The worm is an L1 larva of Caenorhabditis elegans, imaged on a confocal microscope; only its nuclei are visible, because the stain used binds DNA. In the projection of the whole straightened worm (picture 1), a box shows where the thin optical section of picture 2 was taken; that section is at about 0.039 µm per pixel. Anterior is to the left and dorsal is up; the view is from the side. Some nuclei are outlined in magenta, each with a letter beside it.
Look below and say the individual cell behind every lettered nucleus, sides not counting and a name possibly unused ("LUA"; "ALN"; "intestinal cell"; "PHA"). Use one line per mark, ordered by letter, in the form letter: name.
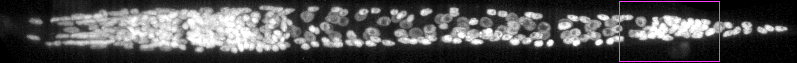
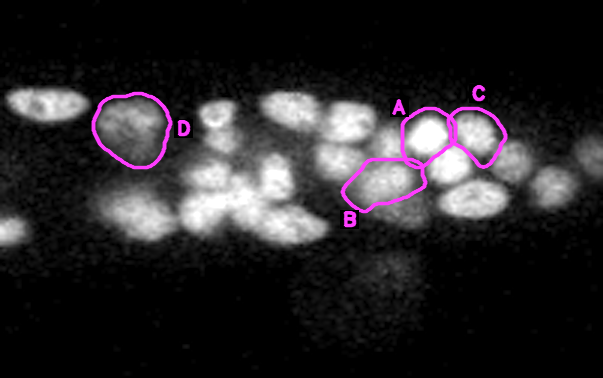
A: LUA
B: PHA
C: ALN
D: intestinal cell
